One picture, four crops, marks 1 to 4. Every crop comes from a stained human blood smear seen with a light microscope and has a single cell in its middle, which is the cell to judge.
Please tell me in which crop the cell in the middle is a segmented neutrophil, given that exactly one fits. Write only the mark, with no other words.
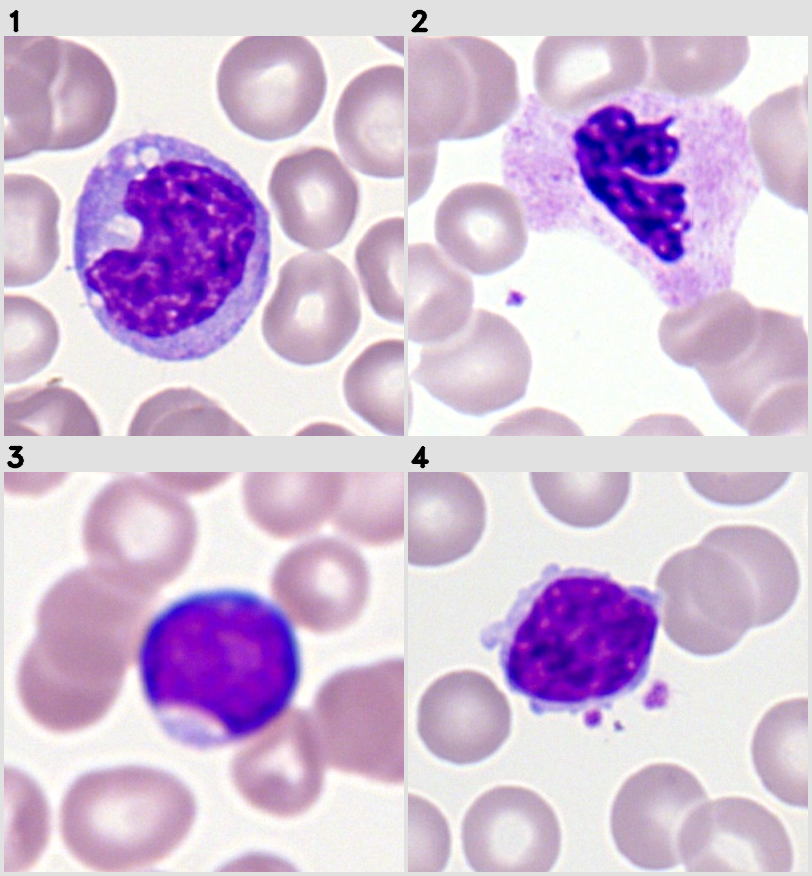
2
